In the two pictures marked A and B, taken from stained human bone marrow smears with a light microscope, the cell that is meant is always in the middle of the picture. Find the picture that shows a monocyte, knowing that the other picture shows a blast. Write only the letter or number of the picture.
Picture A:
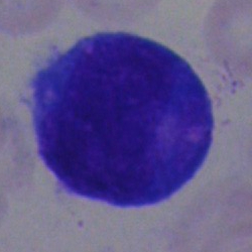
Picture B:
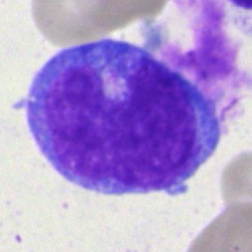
B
